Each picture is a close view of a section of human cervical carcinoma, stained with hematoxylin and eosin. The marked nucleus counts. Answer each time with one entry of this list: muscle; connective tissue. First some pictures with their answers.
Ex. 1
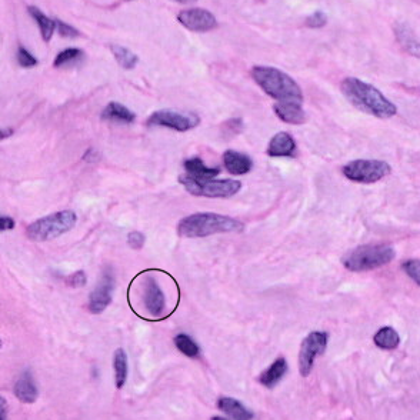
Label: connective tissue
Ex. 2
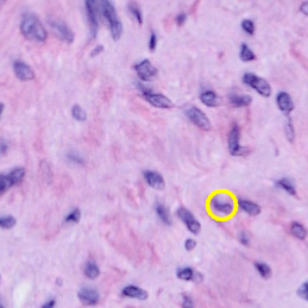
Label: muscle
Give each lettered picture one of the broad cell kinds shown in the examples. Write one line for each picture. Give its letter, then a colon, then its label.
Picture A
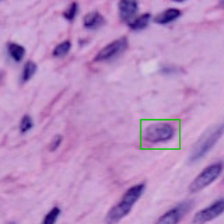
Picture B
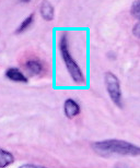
A: muscle
B: connective tissue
